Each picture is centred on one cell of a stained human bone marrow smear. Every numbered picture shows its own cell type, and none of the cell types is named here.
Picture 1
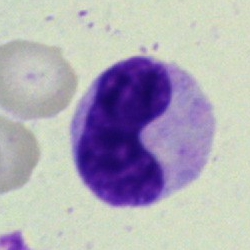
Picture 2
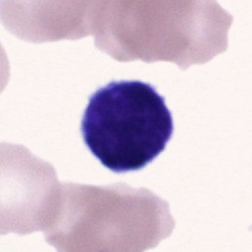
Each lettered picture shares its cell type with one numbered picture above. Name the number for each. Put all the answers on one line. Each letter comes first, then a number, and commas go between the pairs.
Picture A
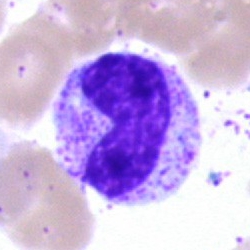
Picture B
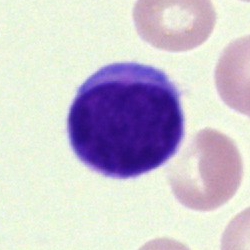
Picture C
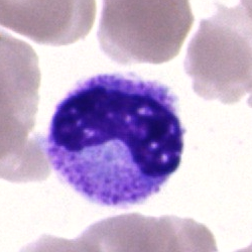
A 1, B 2, C 1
